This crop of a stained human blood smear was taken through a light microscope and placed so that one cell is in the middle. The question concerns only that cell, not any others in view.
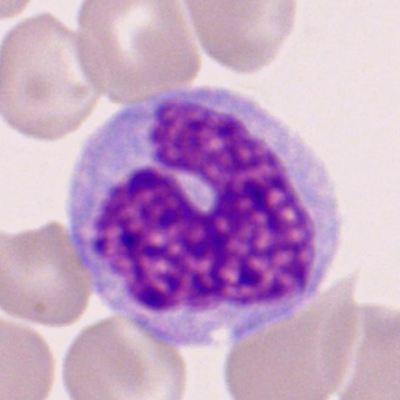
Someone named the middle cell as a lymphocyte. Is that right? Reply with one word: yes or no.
no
